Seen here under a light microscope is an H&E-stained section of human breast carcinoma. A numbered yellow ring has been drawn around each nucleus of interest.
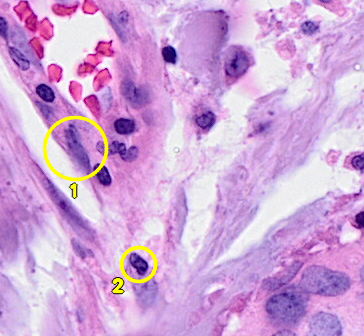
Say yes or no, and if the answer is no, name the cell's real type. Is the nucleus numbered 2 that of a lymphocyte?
Yes.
